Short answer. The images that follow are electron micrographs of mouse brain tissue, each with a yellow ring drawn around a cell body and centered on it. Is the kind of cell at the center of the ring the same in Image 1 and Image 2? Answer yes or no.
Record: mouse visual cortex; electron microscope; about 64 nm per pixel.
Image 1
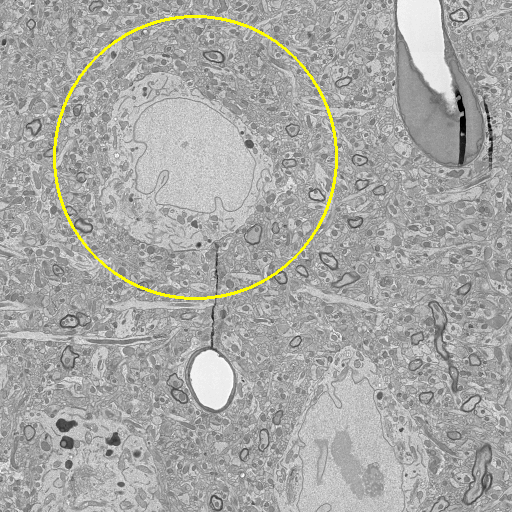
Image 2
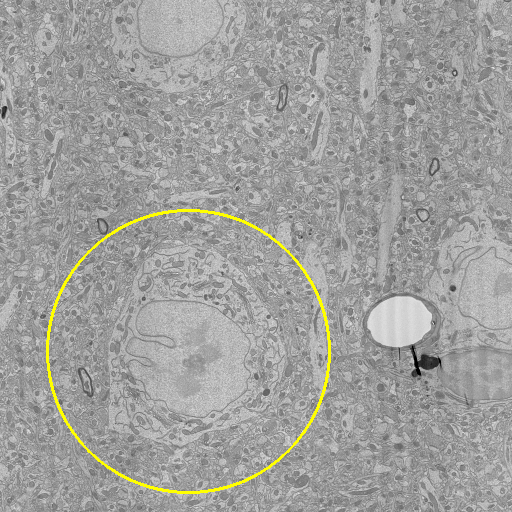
no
